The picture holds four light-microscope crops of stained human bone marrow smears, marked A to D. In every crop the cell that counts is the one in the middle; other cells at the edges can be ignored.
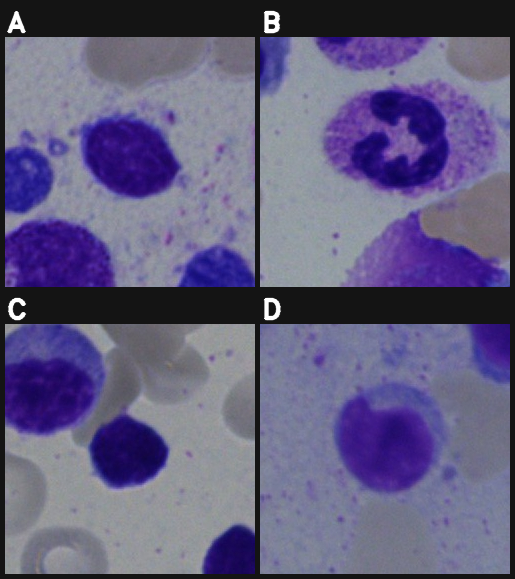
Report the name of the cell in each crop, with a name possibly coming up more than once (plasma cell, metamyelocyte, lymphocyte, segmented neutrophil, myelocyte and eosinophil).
A: lymphocyte
B: segmented neutrophil
C: lymphocyte
D: lymphocyte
